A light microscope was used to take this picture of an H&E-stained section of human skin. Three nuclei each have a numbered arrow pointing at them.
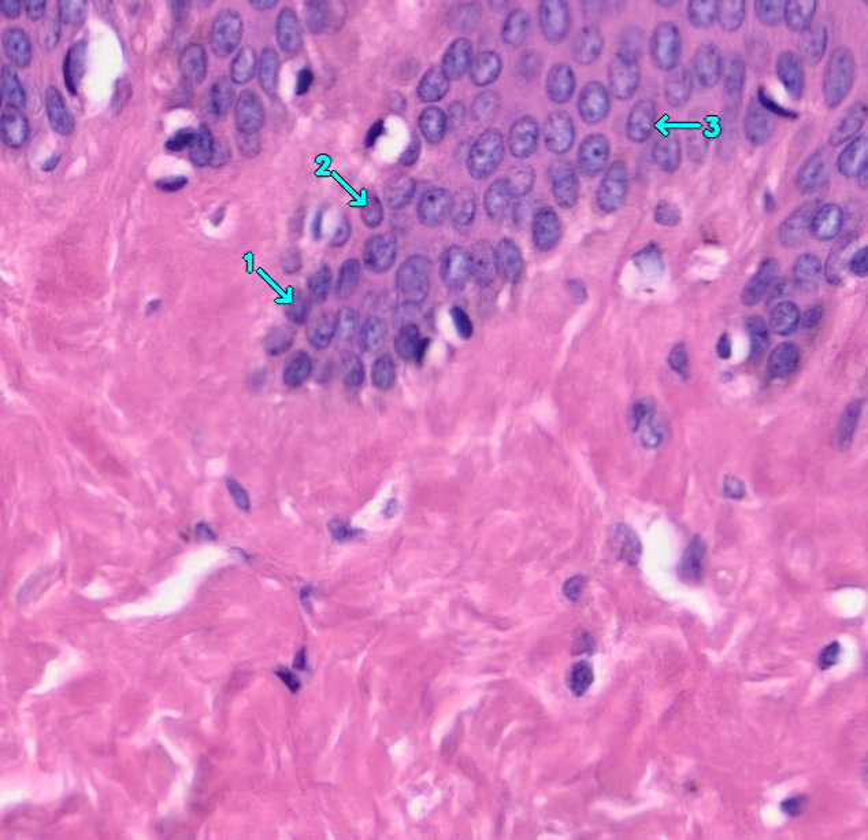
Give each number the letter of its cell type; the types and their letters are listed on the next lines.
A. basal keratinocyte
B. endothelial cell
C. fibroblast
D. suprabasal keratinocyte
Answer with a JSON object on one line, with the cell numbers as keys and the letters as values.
{"1": "A", "2": "A", "3": "D"}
